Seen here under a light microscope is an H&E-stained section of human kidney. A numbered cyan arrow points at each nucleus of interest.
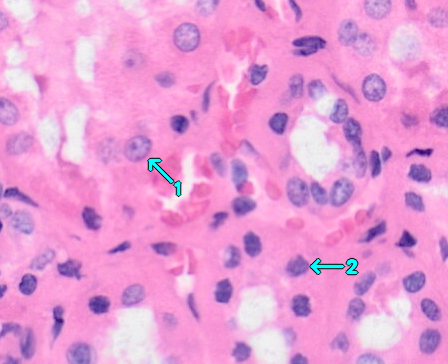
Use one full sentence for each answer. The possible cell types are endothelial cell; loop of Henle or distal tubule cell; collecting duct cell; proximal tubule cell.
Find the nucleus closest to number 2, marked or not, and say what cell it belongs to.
It is a loop of Henle or distal tubule cell whose nucleus is nearest to number 2.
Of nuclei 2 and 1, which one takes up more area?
Of the two, number 1 is bigger and takes up about 1.5 times the area of number 2.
